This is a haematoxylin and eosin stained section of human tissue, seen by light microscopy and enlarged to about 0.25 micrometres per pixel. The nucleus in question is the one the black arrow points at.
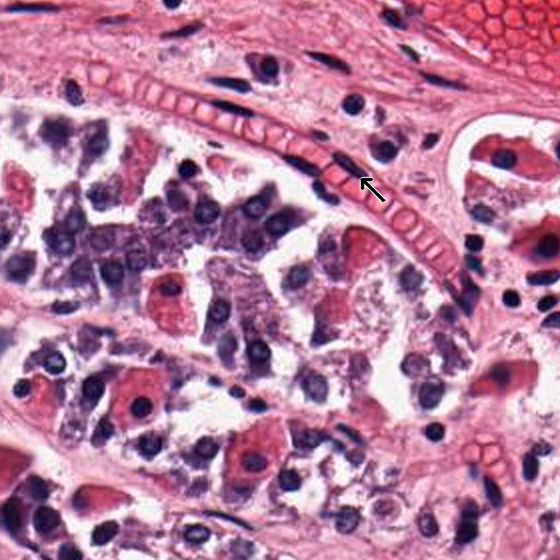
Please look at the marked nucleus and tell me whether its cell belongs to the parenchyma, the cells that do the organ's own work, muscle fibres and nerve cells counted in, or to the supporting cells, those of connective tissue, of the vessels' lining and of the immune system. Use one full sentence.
In this field, the marked nucleus is the nucleus of a supporting cell.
